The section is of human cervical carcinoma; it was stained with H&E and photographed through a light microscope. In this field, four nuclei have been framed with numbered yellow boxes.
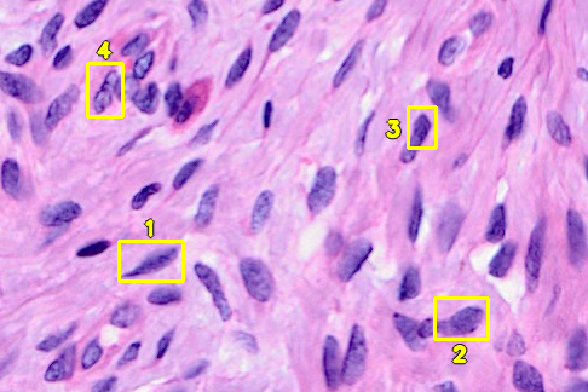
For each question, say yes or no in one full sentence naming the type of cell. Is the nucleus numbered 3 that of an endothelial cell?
No, cell 3 is classified as a fibroblast rather than an endothelial cell.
